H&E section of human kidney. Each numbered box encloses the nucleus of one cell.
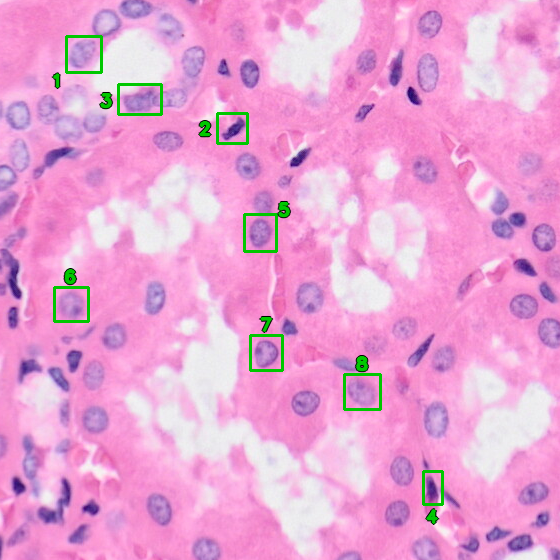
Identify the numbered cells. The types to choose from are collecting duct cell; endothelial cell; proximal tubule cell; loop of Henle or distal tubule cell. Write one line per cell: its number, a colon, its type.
1: collecting duct cell
2: endothelial cell
3: collecting duct cell
4: endothelial cell
5: proximal tubule cell
6: proximal tubule cell
7: proximal tubule cell
8: proximal tubule cell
